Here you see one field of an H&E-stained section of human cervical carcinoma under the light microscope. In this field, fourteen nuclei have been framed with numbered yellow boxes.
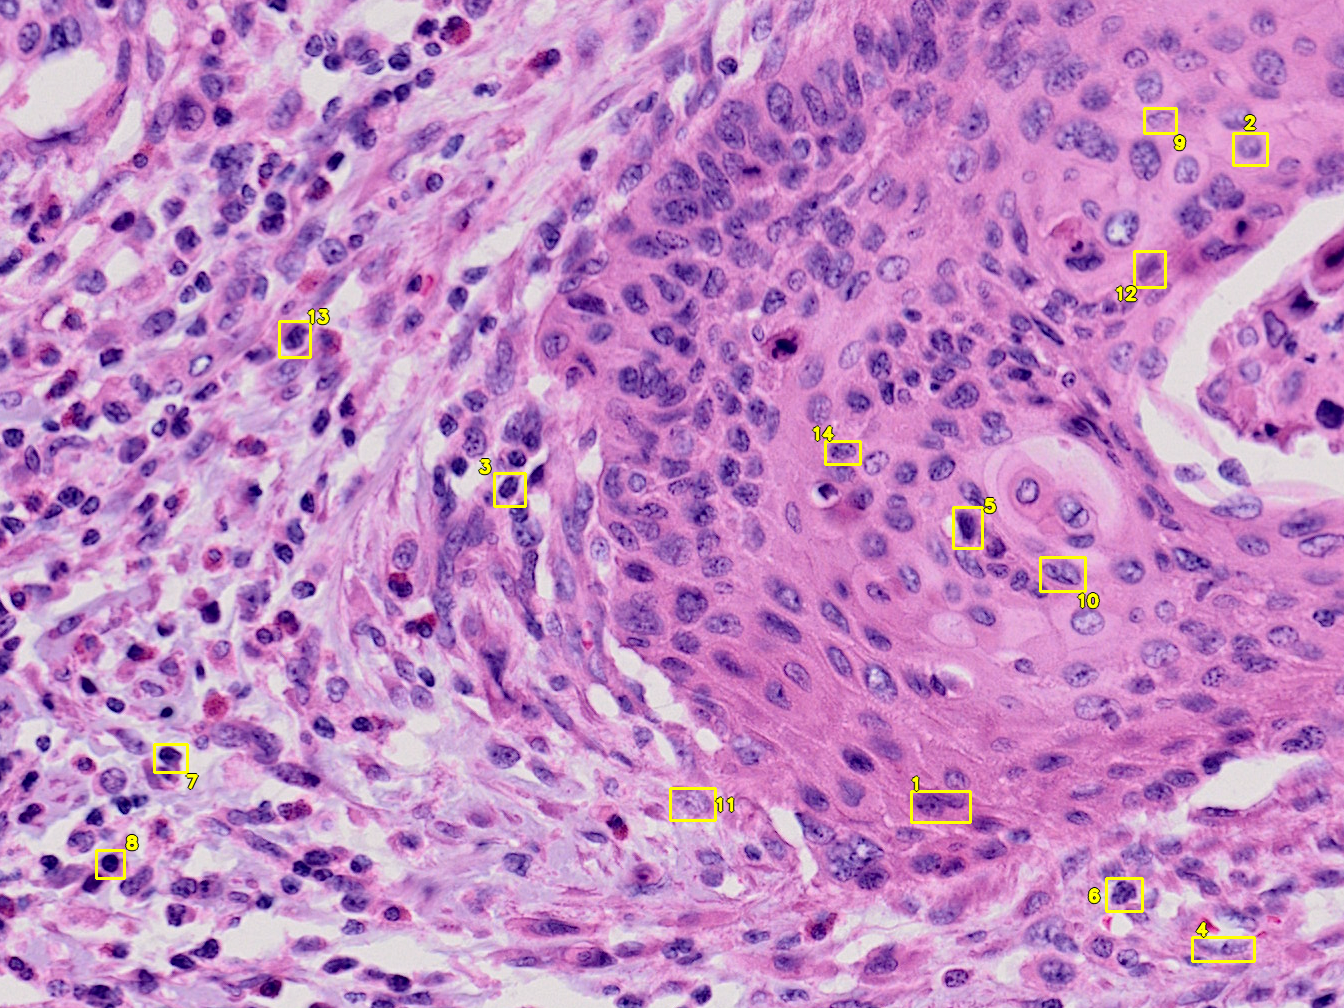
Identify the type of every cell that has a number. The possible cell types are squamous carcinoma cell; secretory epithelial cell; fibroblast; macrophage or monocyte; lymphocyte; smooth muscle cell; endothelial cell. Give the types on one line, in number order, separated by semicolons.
squamous carcinoma cell; squamous carcinoma cell; lymphocyte; endothelial cell; squamous carcinoma cell; lymphocyte; lymphocyte; lymphocyte; squamous carcinoma cell; squamous carcinoma cell; fibroblast; squamous carcinoma cell; lymphocyte; squamous carcinoma cell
